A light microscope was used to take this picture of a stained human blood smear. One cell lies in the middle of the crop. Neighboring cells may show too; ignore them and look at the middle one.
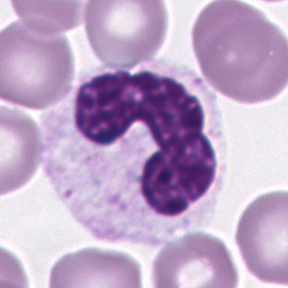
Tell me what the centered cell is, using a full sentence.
By classification, the middle cell of this crop is a band neutrophil.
